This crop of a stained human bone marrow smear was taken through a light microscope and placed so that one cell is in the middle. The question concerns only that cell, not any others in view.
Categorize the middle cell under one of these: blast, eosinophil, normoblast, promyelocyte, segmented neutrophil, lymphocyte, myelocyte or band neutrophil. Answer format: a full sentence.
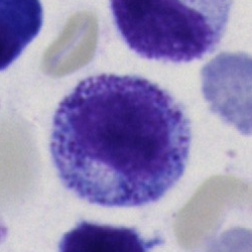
By classification, the middle cell of this crop is a promyelocyte.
